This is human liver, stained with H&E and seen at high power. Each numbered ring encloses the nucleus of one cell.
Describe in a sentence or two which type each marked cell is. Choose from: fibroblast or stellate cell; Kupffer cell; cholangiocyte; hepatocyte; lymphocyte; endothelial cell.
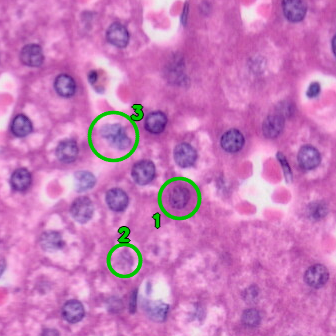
Cells 1 and 2 are hepatocytes. Cell 3 is an endothelial cell.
